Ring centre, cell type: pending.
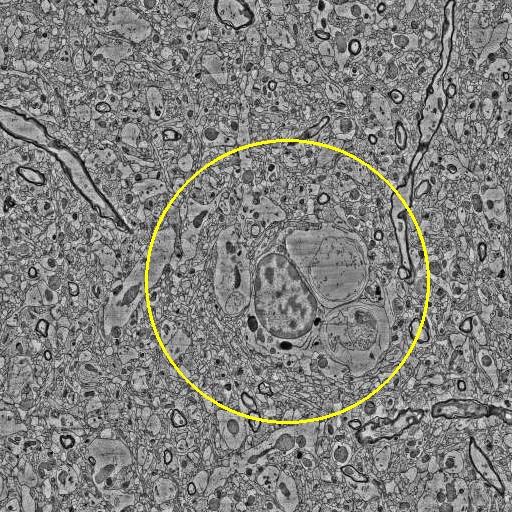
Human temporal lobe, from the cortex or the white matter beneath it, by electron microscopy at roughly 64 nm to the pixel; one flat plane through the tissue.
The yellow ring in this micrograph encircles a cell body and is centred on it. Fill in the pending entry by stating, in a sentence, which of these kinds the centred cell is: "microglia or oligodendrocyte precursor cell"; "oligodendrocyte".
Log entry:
The centred cell is recorded as a microglial cell or oligodendrocyte precursor cell.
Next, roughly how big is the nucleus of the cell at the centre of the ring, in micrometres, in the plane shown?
Roughly 5 by 4 micrometres is the size of the nucleus in this plane.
